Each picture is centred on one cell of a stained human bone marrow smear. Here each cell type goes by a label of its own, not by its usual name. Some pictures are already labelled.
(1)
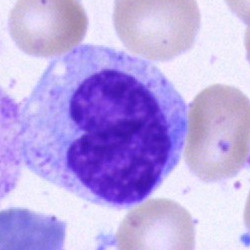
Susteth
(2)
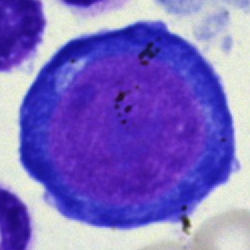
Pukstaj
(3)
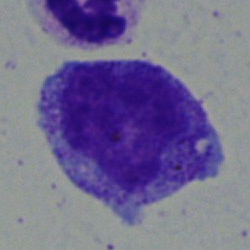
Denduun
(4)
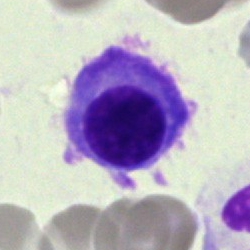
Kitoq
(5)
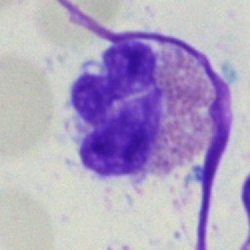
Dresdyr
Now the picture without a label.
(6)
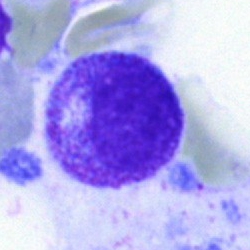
Denduun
